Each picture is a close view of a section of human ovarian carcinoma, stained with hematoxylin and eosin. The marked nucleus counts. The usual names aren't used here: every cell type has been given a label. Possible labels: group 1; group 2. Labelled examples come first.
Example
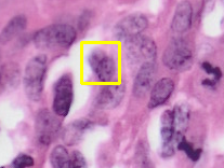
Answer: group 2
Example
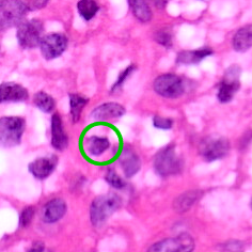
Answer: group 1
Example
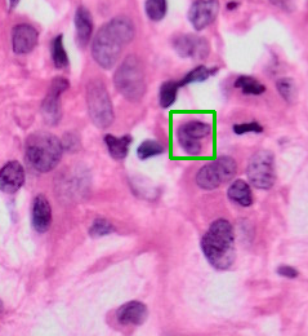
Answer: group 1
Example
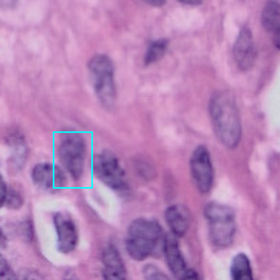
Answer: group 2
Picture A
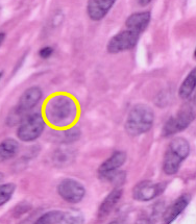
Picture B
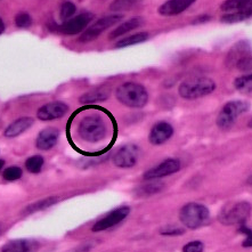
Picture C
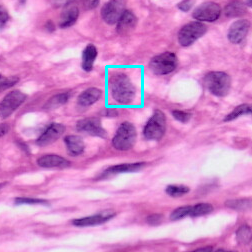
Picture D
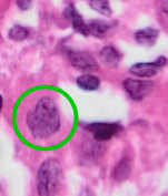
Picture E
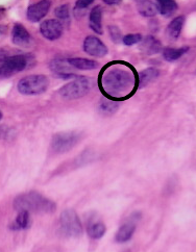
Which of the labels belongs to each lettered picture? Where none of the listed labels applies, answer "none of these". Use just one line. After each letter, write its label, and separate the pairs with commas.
A group 2, B group 1, C group 2, D group 2, E group 2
